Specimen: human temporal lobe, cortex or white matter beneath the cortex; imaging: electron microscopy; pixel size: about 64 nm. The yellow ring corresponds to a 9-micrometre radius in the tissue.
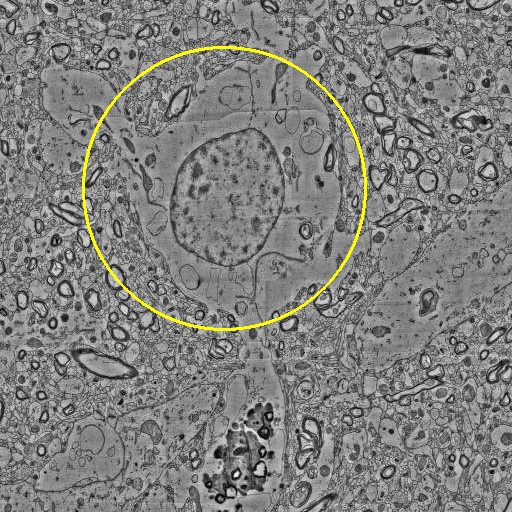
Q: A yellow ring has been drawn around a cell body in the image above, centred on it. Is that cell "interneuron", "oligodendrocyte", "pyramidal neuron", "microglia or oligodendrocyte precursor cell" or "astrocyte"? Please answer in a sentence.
The ring surrounds the cell body of an astrocyte.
